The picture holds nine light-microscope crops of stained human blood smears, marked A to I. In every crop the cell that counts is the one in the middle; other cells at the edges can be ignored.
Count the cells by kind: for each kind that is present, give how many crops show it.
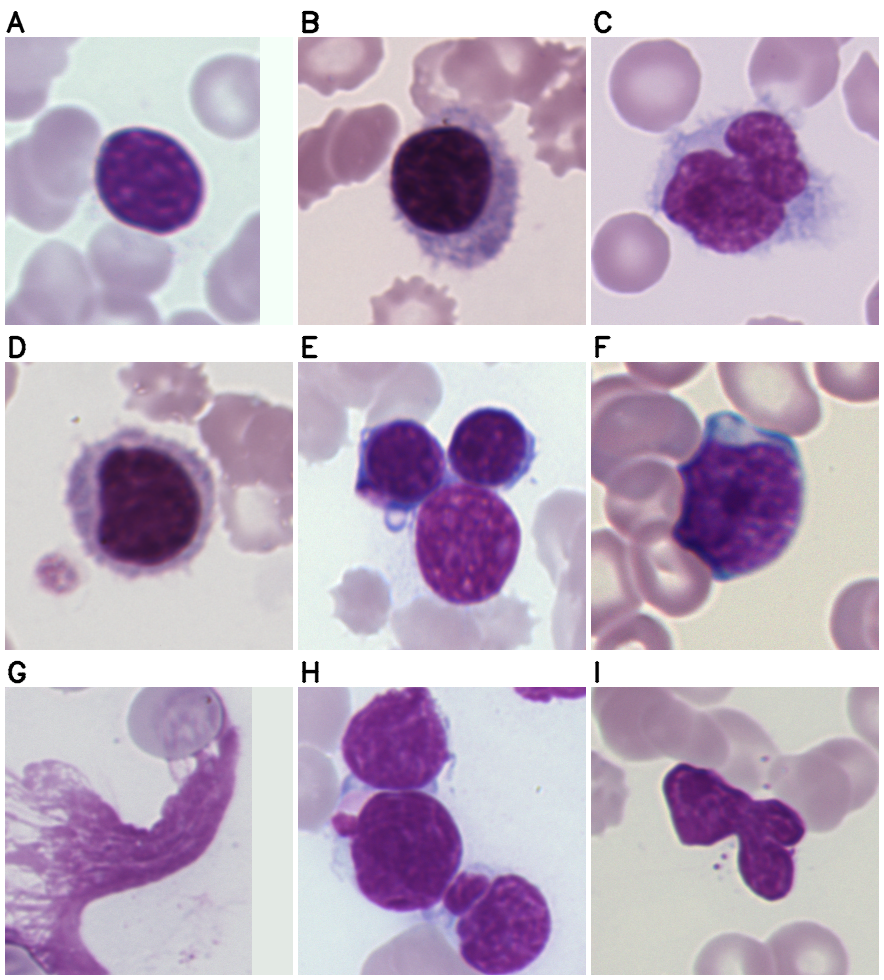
smudge cell: 3
hairy cell: 3
myeloblast: 3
